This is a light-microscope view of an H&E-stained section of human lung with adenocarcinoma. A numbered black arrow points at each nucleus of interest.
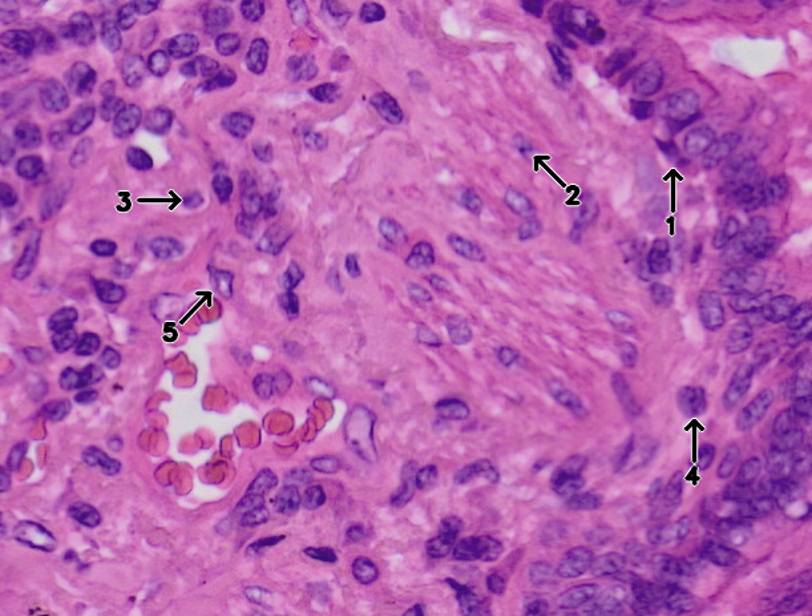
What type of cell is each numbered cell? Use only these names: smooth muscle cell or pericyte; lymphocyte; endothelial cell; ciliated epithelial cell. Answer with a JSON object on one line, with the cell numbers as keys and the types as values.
{"1": "ciliated epithelial cell", "2": "smooth muscle cell or pericyte", "3": "lymphocyte", "4": "lymphocyte", "5": "endothelial cell"}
